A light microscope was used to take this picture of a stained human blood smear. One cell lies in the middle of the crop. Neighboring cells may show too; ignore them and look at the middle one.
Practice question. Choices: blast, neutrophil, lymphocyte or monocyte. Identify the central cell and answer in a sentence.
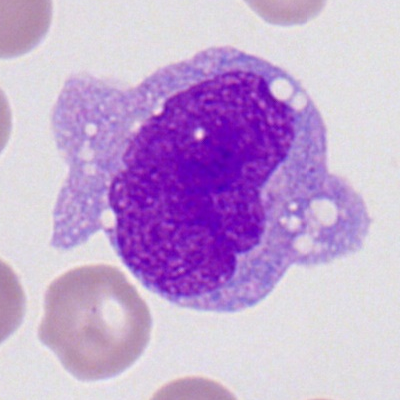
The centered cell in this crop is a monocyte.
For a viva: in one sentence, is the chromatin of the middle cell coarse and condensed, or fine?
The chromatin here is fine and lacks any coarse clumps.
